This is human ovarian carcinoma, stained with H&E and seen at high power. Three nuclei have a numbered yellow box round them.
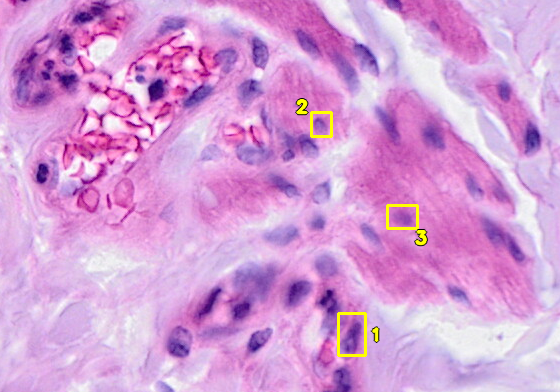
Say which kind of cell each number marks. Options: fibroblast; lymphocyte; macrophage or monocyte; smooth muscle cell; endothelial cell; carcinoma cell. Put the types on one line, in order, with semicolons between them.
endothelial cell; smooth muscle cell; smooth muscle cell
